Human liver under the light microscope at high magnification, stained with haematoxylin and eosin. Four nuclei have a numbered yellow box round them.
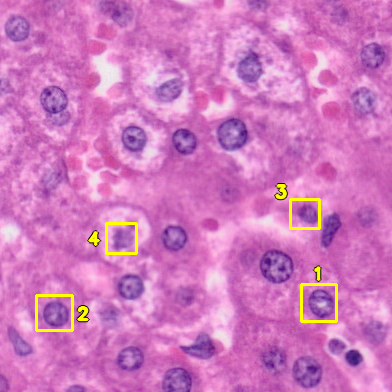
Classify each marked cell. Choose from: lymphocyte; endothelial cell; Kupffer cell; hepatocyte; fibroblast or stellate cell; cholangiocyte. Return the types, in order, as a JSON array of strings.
["hepatocyte", "hepatocyte", "Kupffer cell", "hepatocyte"]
